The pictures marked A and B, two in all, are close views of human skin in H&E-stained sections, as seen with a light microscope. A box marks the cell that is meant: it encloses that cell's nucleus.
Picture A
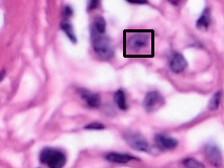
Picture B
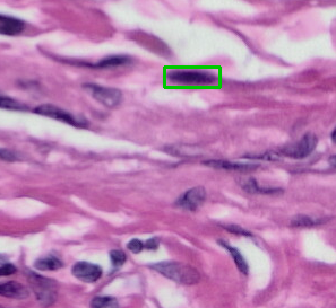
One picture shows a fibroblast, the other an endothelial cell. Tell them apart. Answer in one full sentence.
Picture A shows an endothelial cell and picture B shows a fibroblast.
